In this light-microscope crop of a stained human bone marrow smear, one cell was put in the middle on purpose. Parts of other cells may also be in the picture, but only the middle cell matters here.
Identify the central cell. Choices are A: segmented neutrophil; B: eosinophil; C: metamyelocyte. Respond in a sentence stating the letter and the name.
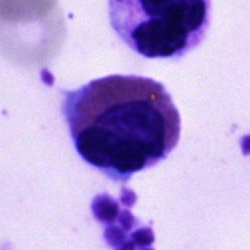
Answer key: option B, the middle cell being an eosinophil.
